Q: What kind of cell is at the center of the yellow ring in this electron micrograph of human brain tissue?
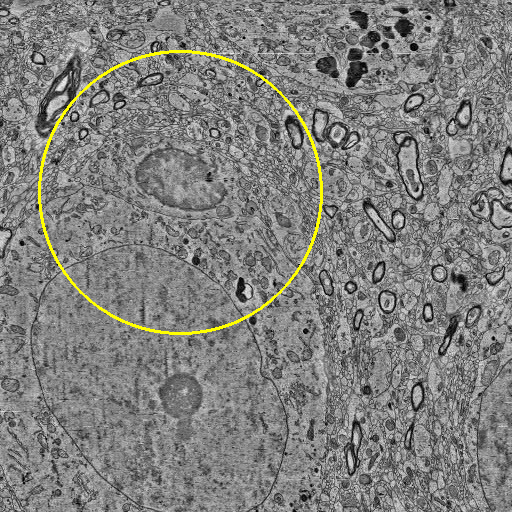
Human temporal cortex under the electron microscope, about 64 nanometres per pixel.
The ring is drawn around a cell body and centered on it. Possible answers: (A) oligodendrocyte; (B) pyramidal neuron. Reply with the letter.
A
